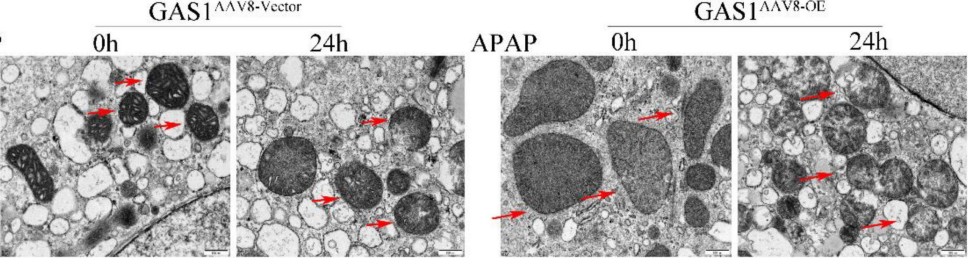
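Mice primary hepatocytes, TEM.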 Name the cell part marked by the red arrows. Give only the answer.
Mitochondria.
